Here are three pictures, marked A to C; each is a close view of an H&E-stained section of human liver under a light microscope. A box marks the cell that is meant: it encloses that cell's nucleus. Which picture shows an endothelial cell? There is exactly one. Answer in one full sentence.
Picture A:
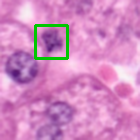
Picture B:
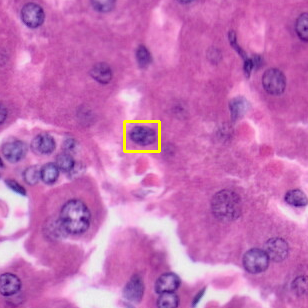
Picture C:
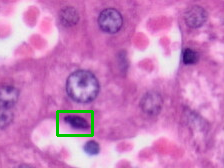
Picture A shows the endothelial cell.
